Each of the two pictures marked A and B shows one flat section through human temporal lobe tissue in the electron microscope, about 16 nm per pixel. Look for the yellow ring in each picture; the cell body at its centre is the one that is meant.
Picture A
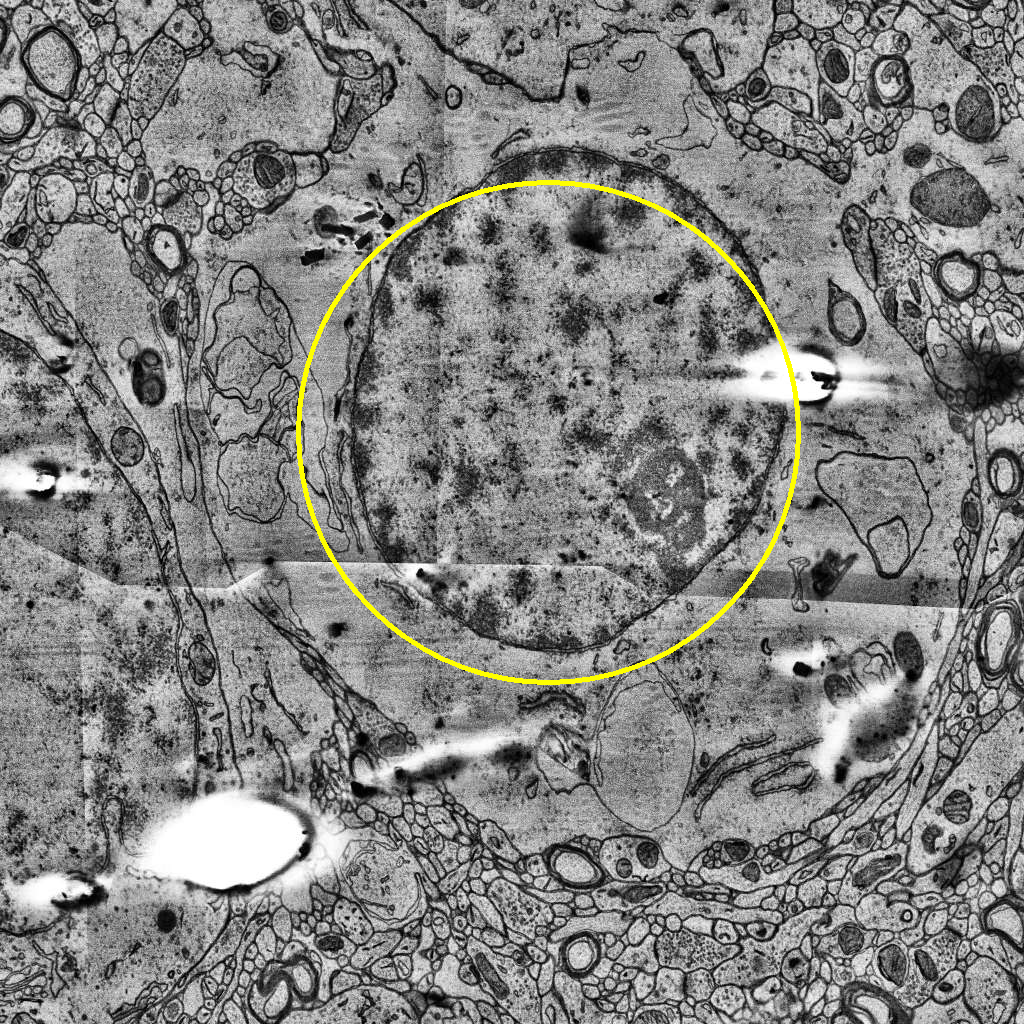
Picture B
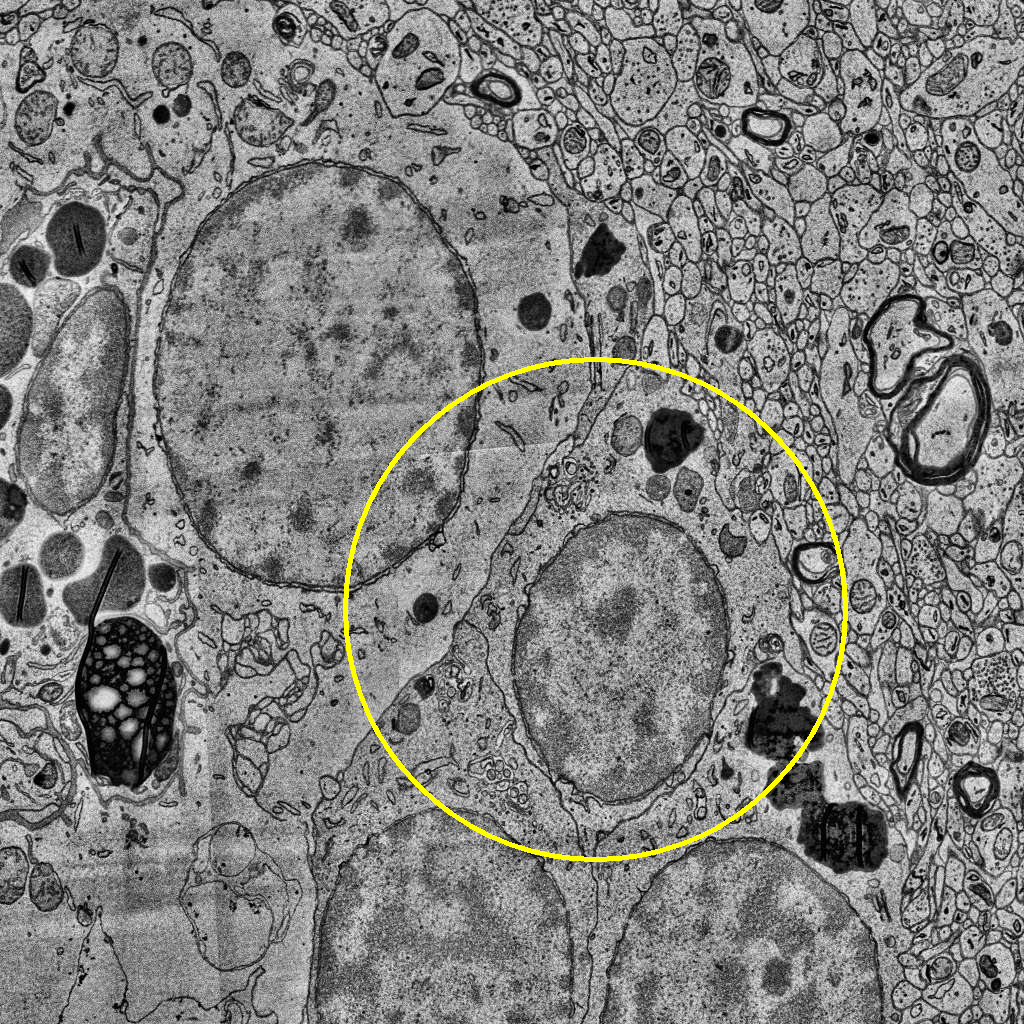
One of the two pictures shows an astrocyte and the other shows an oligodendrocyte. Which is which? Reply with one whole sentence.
The cell in picture A is an astrocyte, and the one in picture B is an oligodendrocyte.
